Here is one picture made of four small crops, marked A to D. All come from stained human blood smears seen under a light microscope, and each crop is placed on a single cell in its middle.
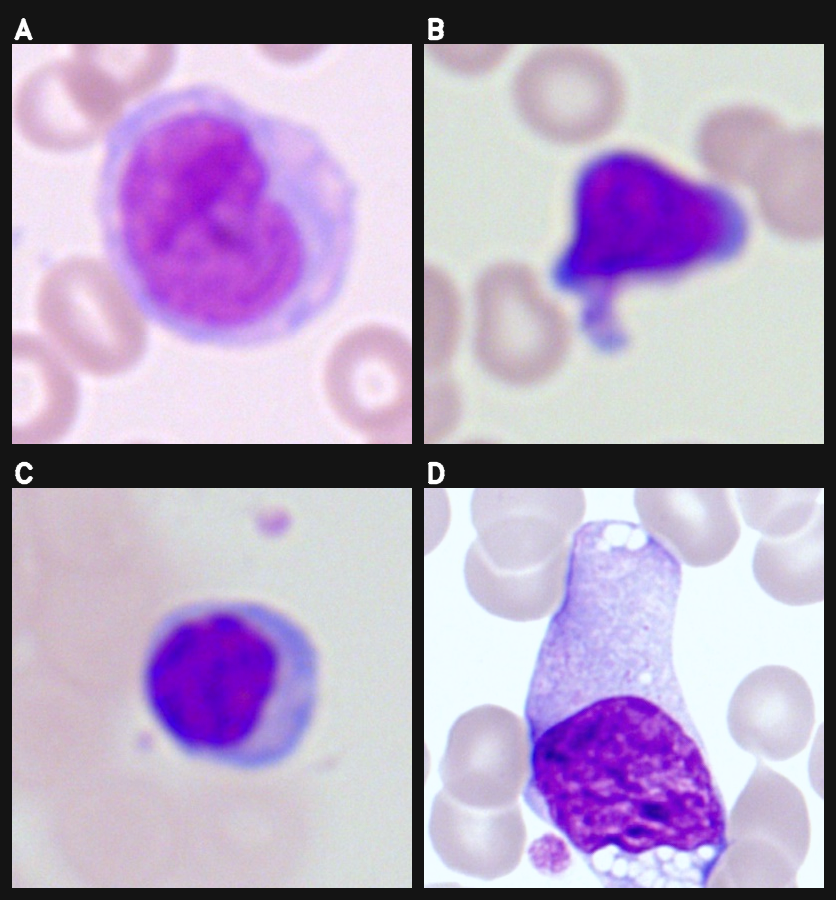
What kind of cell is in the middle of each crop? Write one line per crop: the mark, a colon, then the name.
A: monocyte
B: lymphocyte
C: lymphocyte
D: monocyte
